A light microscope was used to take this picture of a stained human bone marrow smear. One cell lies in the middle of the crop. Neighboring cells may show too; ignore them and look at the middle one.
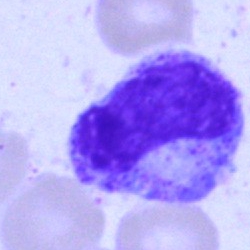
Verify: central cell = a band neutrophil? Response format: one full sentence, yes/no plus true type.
No, the central cell is a metamyelocyte, not a band neutrophil.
